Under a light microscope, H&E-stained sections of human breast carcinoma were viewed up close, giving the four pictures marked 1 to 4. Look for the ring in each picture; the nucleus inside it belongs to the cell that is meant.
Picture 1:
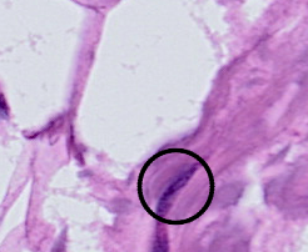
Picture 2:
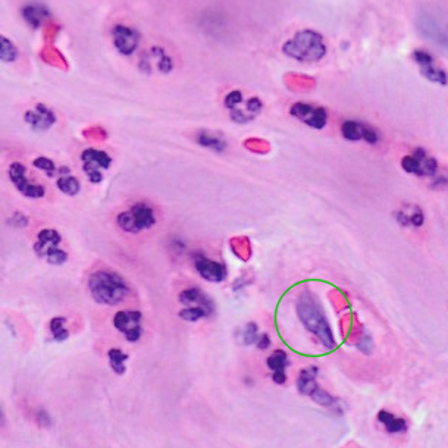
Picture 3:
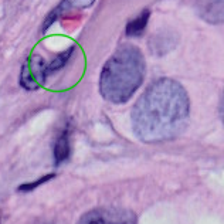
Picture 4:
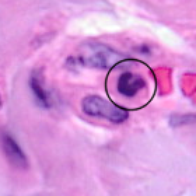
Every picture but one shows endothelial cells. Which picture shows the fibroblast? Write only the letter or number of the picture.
1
